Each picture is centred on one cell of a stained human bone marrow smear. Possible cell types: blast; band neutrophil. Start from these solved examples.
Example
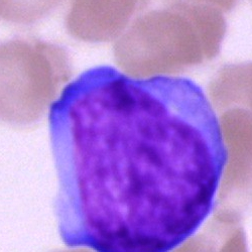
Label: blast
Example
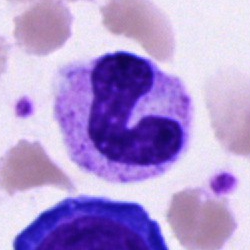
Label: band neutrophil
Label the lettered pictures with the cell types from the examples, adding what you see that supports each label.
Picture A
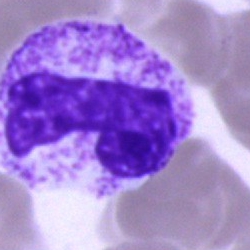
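band neutrophil. The nucleus is a thick band lying horizontally across the cell.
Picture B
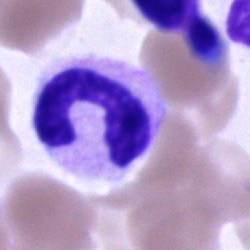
band neutrophil. The chromatin is dark purple and coarsely clumped.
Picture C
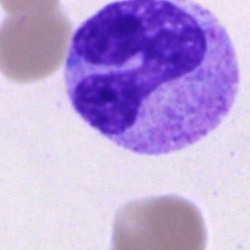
band neutrophil. The chromatin is dark purple and coarsely clumped.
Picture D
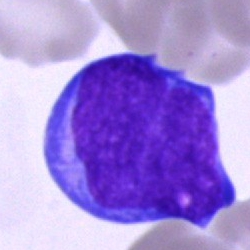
blast. The nucleus fills most of the cell.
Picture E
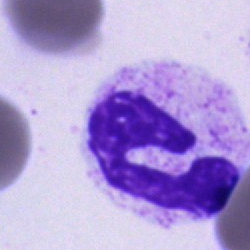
band neutrophil. The nucleus is a single curved band bent into a C shape that opens to the right.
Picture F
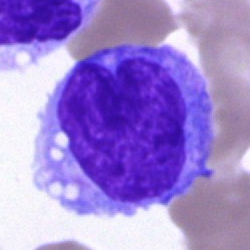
blast. The chromatin is fine and lacy rather than coarsely clumped.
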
